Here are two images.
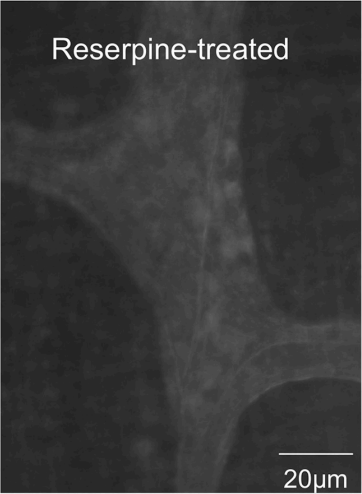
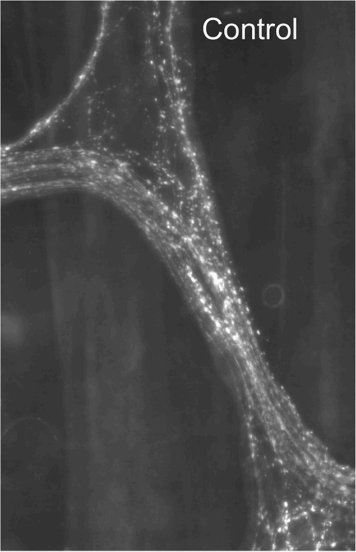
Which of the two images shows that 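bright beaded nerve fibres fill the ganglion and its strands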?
The second image.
